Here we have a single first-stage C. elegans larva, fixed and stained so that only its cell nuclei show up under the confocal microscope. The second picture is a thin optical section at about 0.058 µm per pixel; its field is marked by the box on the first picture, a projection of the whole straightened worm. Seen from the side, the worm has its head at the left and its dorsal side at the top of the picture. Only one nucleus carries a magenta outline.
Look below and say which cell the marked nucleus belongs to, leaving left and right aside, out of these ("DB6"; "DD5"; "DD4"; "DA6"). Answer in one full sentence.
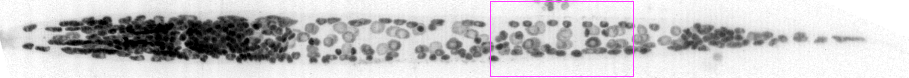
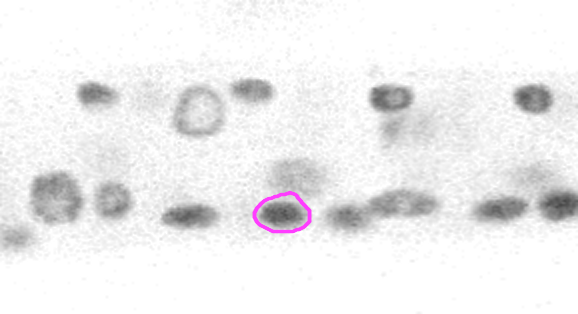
It belongs to DB6, a neuron.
